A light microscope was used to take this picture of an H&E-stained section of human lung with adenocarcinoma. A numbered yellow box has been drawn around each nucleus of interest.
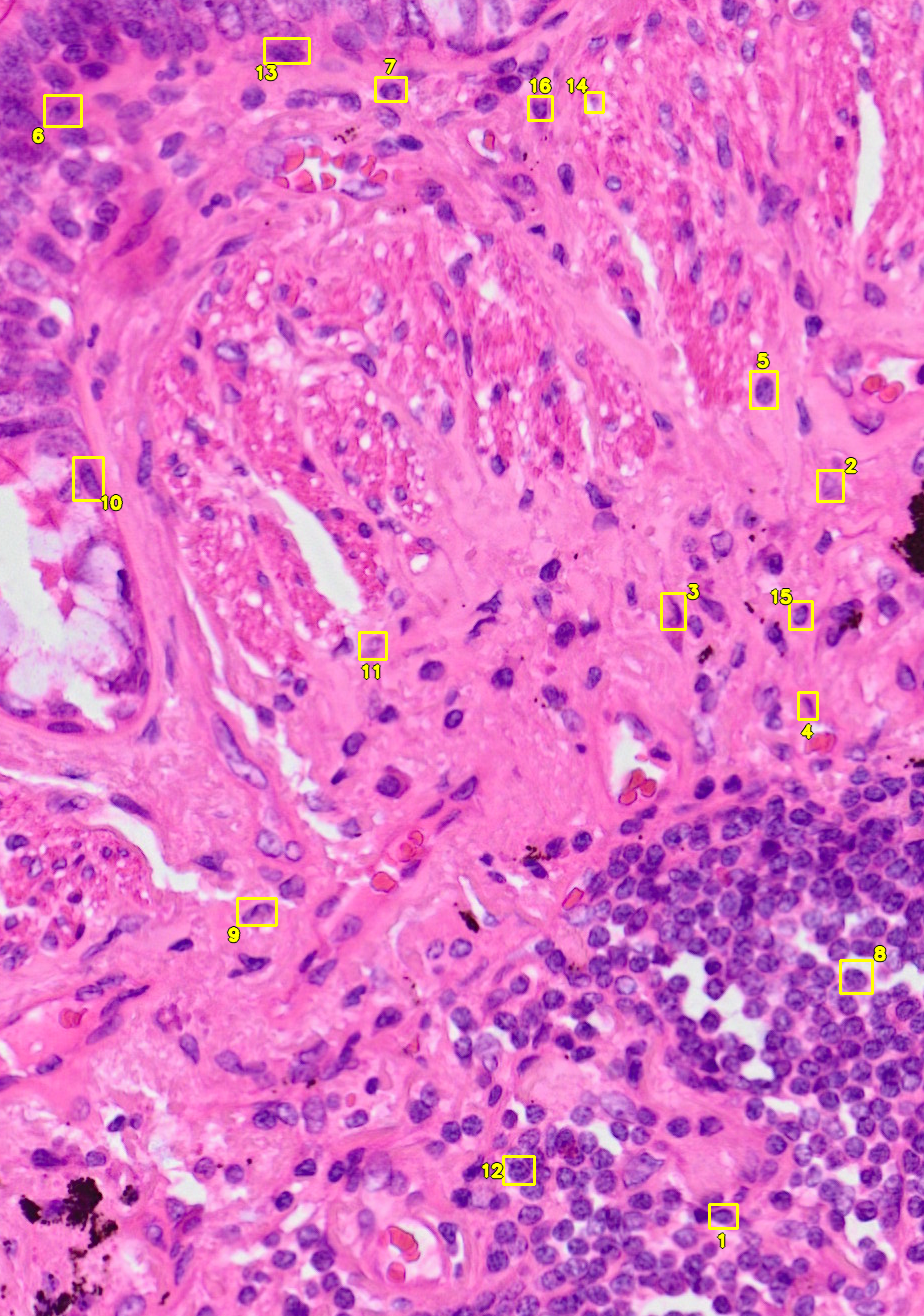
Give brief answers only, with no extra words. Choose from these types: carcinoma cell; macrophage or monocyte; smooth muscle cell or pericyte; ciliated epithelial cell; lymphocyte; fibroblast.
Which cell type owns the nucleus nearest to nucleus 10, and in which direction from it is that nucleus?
a ciliated epithelial cell below and to the left of nucleus 10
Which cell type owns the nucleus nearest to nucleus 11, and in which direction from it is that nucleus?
a fibroblast to the left of nucleus 11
